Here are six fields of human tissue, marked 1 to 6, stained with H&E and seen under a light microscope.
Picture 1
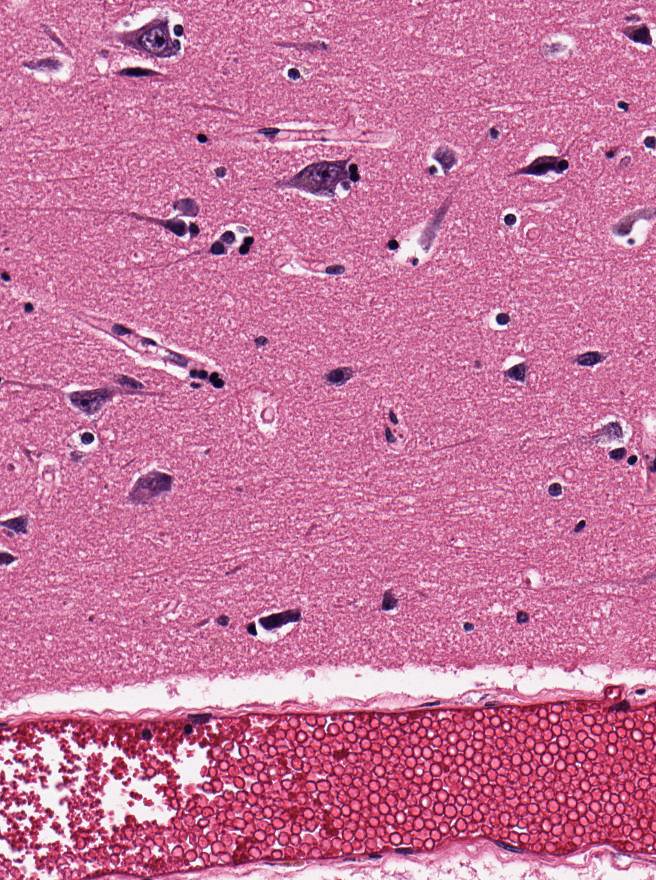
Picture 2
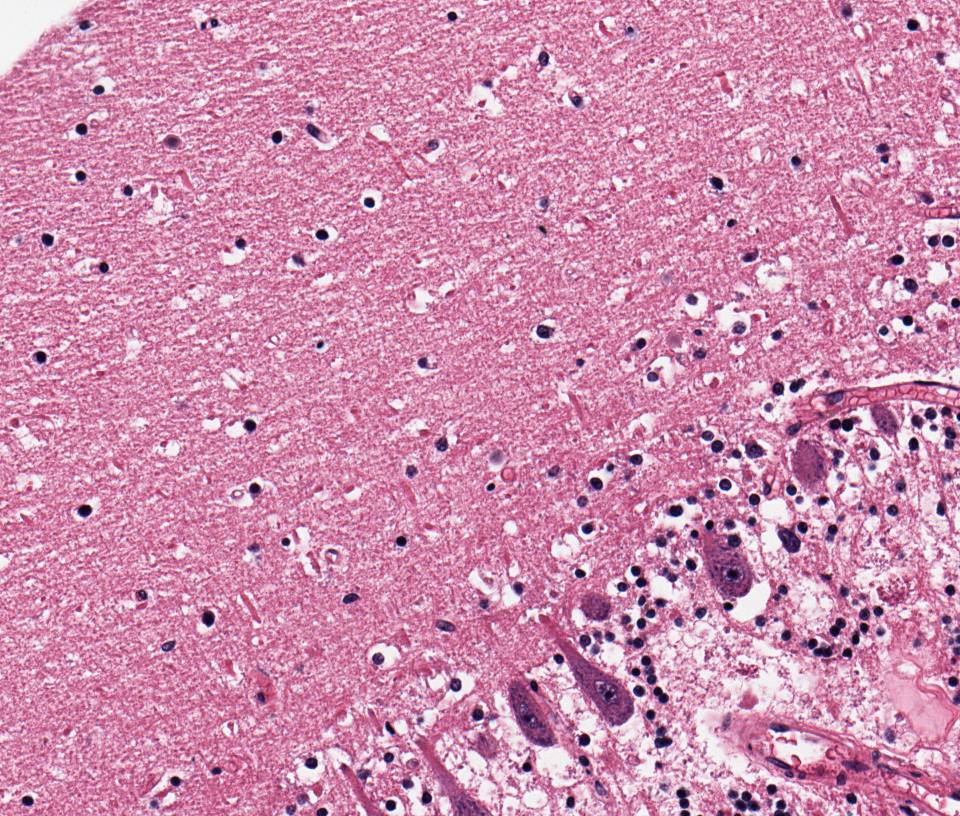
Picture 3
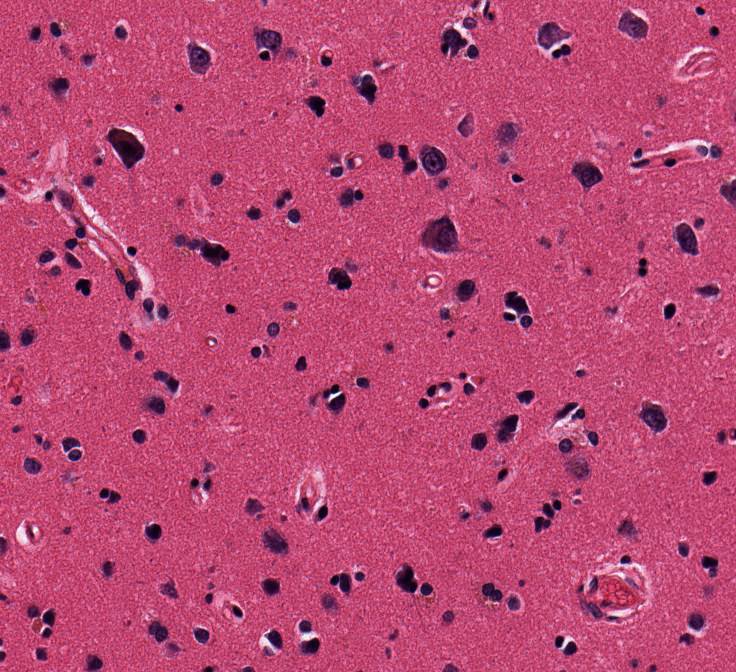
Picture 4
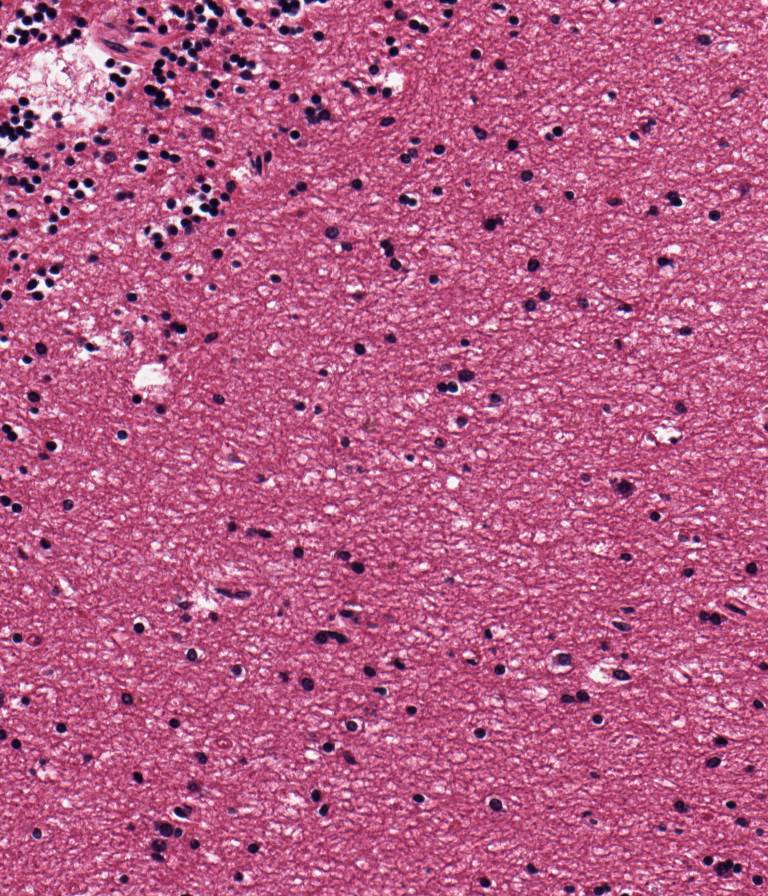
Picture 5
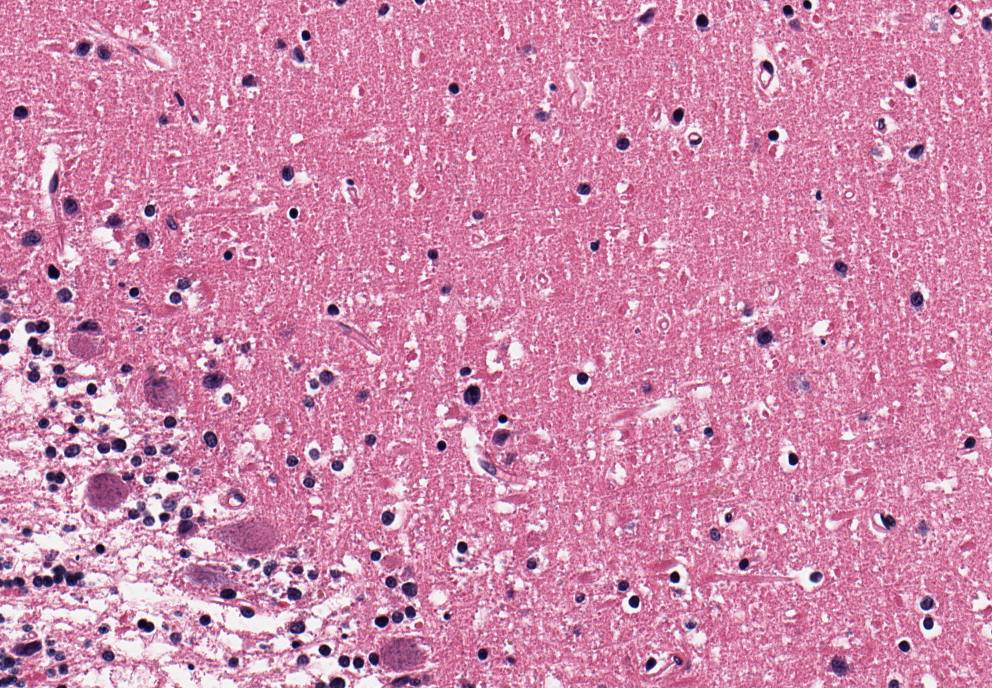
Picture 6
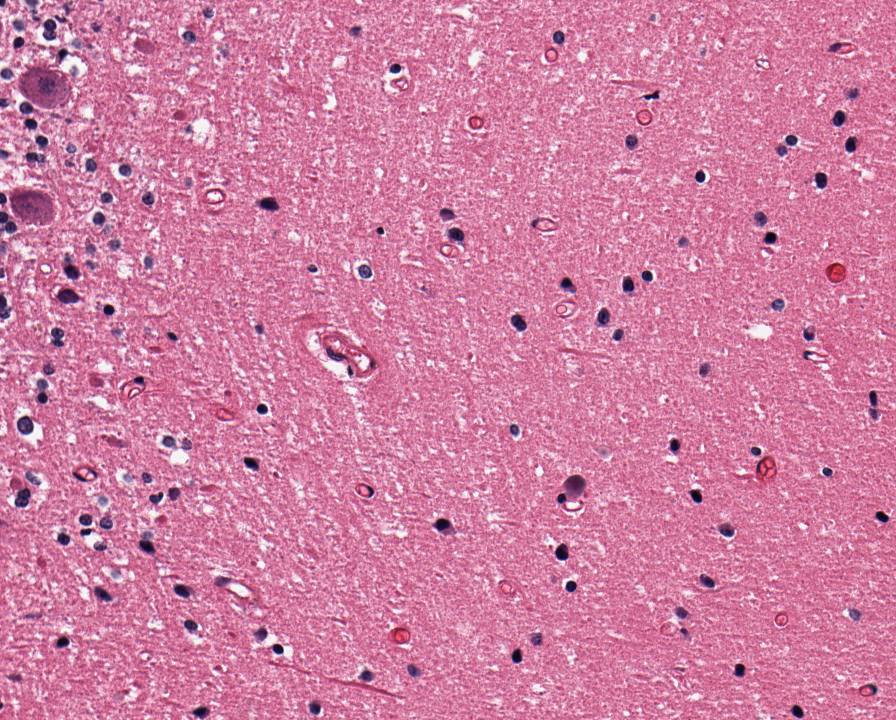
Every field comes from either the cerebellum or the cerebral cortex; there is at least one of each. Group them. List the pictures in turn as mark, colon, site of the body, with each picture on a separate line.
1: cerebral cortex
2: cerebellum
3: cerebral cortex
4: cerebellum
5: cerebellum
6: cerebellum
